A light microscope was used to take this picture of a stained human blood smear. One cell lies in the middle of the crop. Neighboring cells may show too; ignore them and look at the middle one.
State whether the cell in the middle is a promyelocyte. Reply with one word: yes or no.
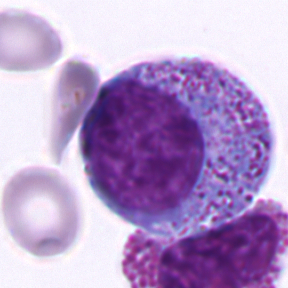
yes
